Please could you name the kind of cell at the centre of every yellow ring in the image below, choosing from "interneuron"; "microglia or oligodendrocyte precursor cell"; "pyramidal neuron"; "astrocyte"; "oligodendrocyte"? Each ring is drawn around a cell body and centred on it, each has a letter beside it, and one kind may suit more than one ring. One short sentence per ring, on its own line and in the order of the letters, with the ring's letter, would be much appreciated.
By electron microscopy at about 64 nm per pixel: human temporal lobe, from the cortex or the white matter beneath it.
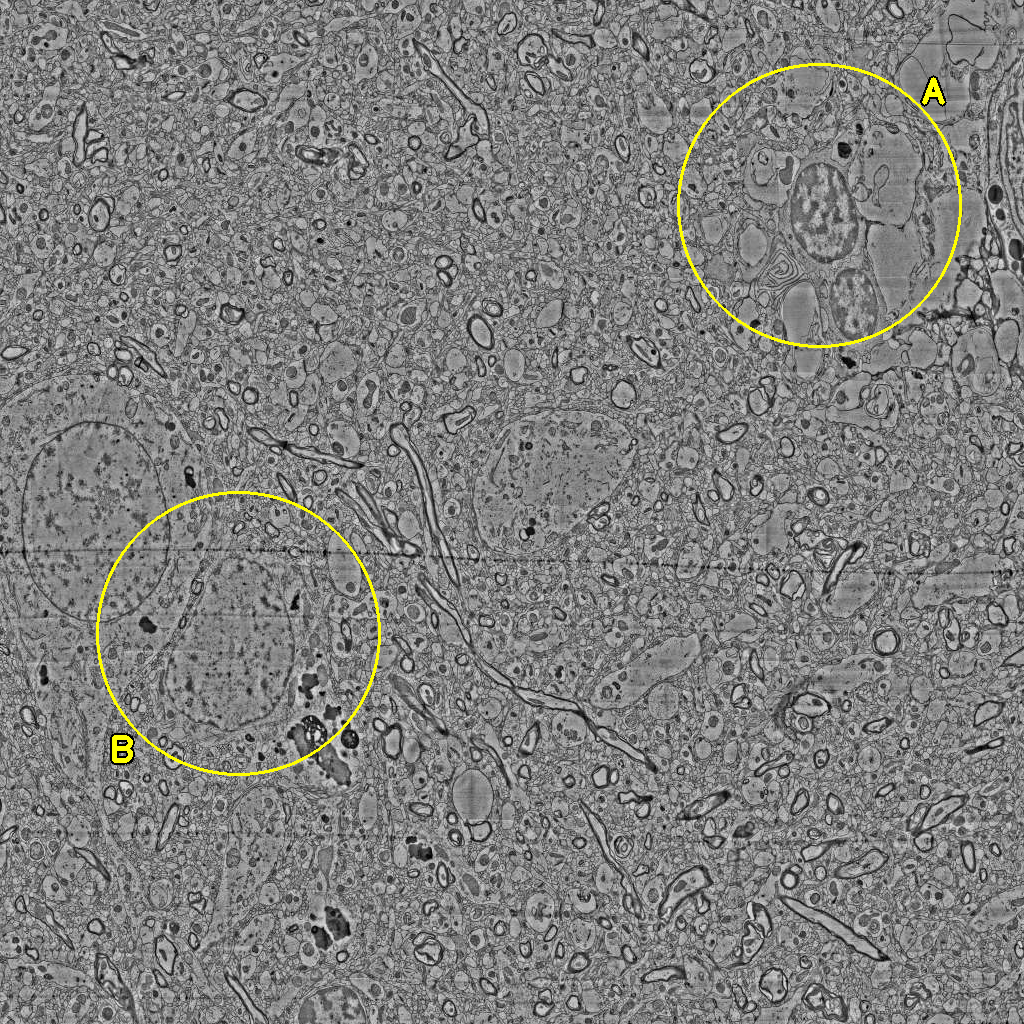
The cell in the middle of ring A is an oligodendrocyte.
The cell in the middle of ring B is an astrocyte.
